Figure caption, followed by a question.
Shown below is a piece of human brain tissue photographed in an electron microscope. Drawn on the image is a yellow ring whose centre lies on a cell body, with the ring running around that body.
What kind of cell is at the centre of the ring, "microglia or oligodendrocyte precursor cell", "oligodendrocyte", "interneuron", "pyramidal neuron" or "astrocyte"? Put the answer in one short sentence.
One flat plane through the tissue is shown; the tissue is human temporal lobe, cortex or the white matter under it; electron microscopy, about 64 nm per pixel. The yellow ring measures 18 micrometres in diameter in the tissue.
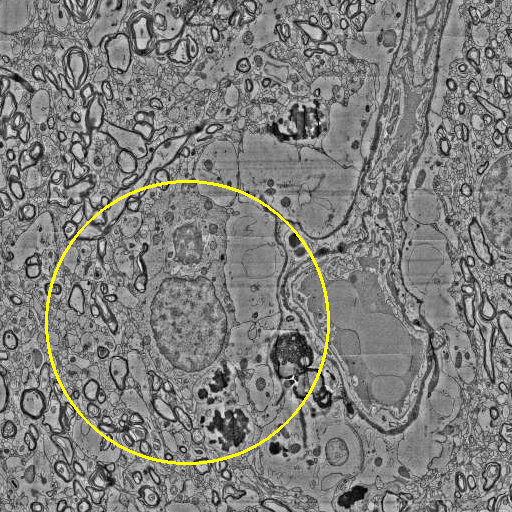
The ring marks the cell body of an oligodendrocyte.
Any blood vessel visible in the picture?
Yes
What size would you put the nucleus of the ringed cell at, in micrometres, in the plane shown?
About 6 by 5 micrometers, in this plane.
